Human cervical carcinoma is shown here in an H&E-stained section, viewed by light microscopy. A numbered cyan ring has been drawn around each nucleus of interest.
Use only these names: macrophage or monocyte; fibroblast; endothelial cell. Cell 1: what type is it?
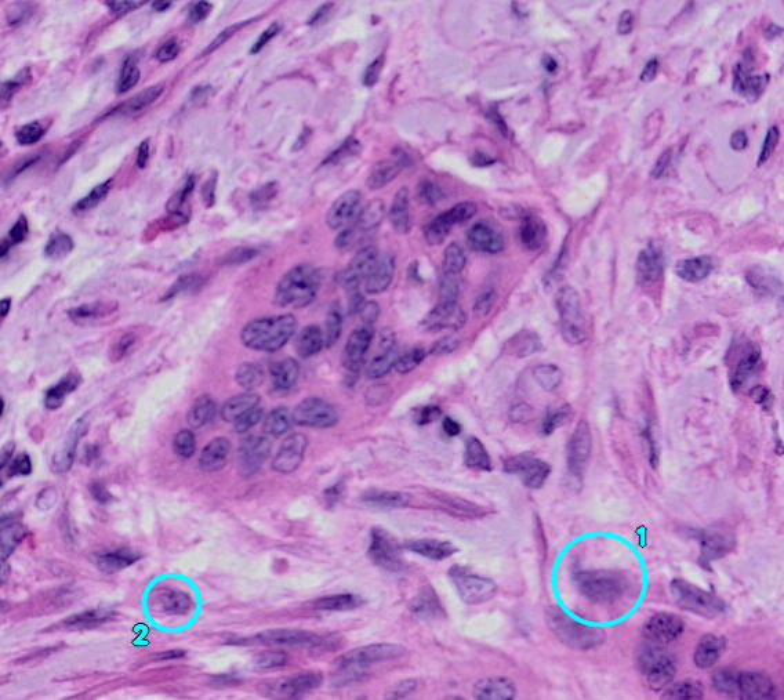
fibroblast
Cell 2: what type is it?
macrophage or monocyte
